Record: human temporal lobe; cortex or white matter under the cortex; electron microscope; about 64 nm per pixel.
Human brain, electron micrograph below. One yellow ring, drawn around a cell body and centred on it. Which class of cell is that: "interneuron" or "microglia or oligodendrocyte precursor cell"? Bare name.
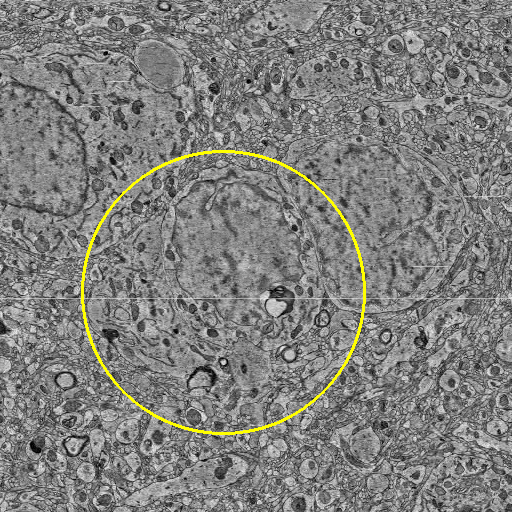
interneuron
